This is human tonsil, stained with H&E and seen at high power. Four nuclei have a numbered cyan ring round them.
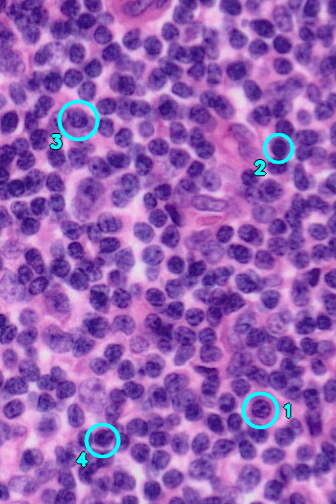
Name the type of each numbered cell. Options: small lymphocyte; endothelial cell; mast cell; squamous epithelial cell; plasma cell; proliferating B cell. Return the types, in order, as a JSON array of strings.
["plasma cell", "small lymphocyte", "small lymphocyte", "small lymphocyte"]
